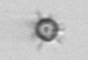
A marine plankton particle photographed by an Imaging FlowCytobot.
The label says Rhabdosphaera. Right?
Right.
